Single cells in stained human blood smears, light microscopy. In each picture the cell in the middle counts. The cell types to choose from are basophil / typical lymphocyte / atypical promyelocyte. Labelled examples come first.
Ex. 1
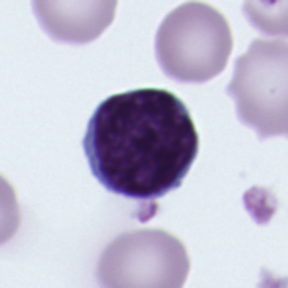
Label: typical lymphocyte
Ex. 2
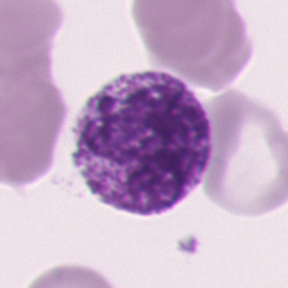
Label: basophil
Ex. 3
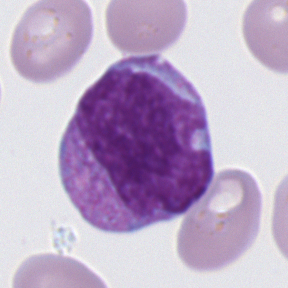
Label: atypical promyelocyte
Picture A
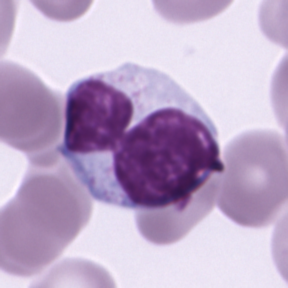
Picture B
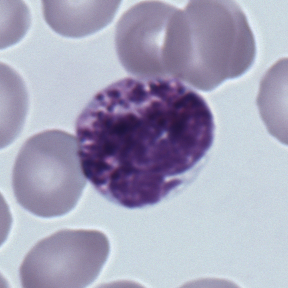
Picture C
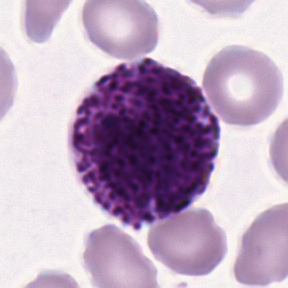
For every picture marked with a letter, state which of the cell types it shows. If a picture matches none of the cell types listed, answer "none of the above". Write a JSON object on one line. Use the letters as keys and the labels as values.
{"A": "none of the above", "B": "basophil", "C": "basophil"}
